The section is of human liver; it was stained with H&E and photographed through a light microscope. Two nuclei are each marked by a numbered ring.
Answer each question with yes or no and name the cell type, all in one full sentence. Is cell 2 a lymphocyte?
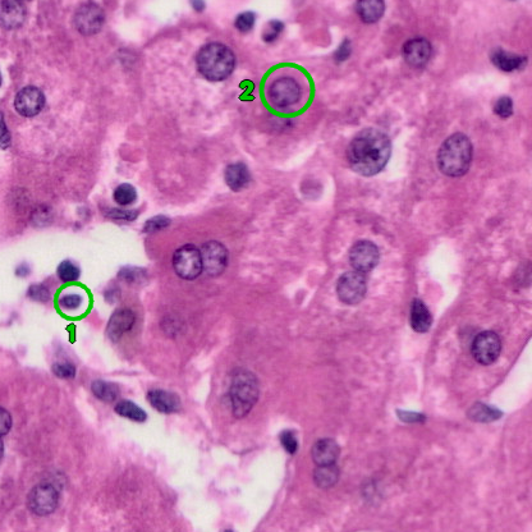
No, cell 2 is to be read as a hepatocyte, not a lymphocyte.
